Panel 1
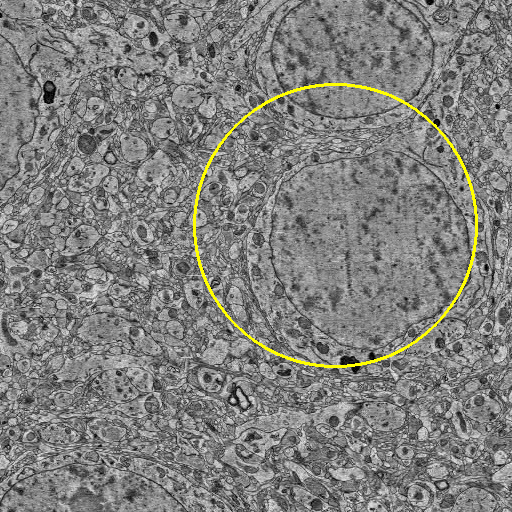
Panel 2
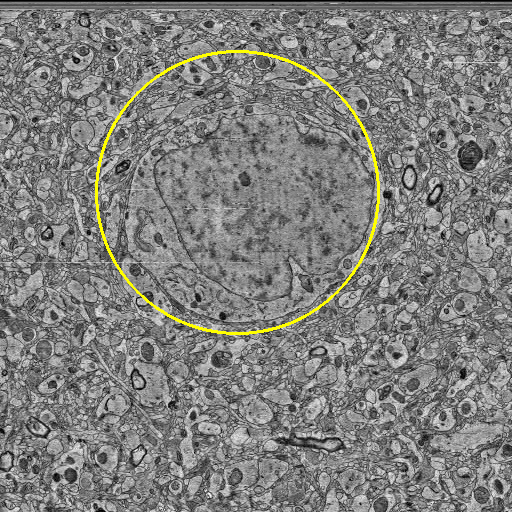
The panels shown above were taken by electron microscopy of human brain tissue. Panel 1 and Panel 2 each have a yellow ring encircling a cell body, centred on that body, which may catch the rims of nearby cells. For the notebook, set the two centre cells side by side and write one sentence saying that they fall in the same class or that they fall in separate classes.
The centred cells of Panel 1 and Panel 2 fall in separate classes.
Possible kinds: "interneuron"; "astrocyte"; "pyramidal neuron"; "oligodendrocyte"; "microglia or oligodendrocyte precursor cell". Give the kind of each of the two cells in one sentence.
The cell in the second picture is an interneuron, and that in the first is a pyramidal neuron.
